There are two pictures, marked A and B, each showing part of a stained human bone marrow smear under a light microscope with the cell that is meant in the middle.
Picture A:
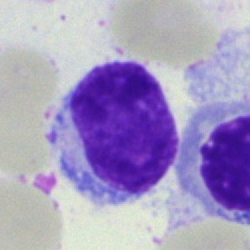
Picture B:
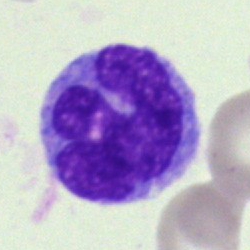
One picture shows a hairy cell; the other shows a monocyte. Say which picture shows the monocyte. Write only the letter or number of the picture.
B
